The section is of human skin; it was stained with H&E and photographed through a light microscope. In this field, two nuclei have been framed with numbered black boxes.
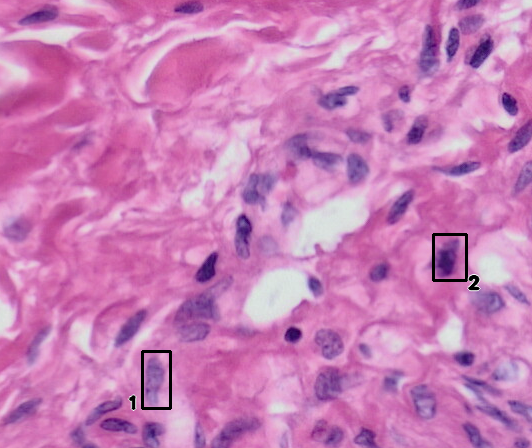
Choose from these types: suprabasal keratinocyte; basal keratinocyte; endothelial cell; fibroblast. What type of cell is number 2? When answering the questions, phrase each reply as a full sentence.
The nucleus labelled 2 belongs to a fibroblast.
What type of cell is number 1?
The mark numbered 1 indicates the nucleus of an endothelial cell.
